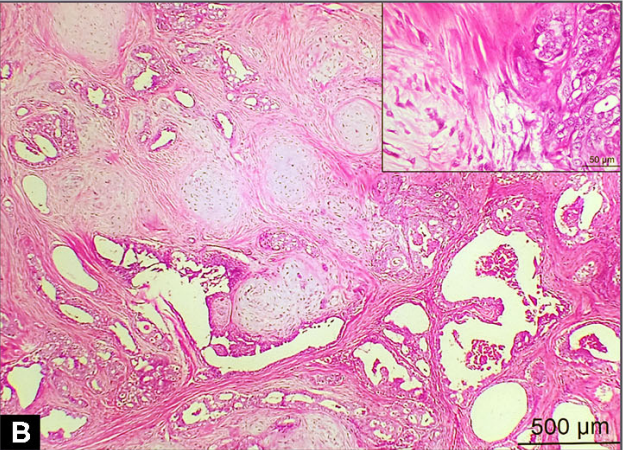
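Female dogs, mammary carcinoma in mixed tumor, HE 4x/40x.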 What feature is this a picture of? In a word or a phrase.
irregular papillae and tubules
